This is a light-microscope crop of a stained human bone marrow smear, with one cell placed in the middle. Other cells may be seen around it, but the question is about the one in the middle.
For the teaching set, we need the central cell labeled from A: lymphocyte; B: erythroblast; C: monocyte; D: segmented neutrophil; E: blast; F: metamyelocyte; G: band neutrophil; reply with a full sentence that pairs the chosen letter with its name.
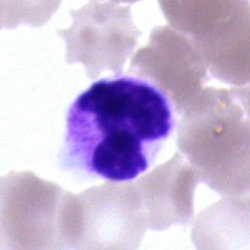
The cell in the centre of the crop is a segmented neutrophil, so option D is the correct one.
